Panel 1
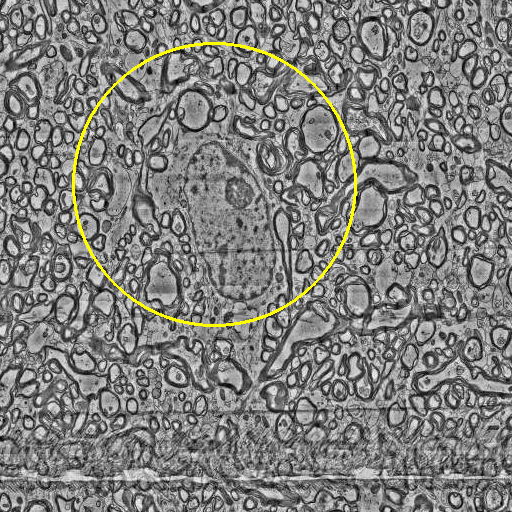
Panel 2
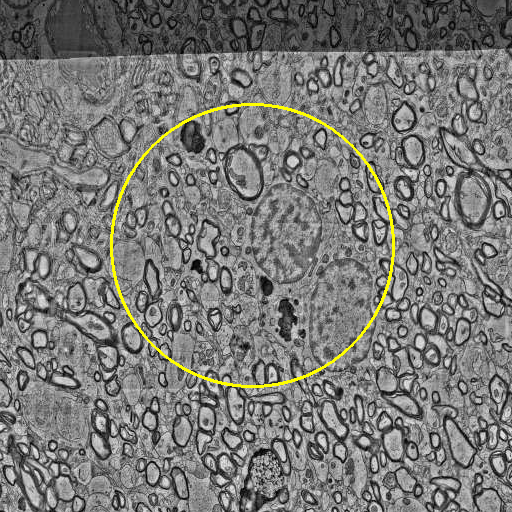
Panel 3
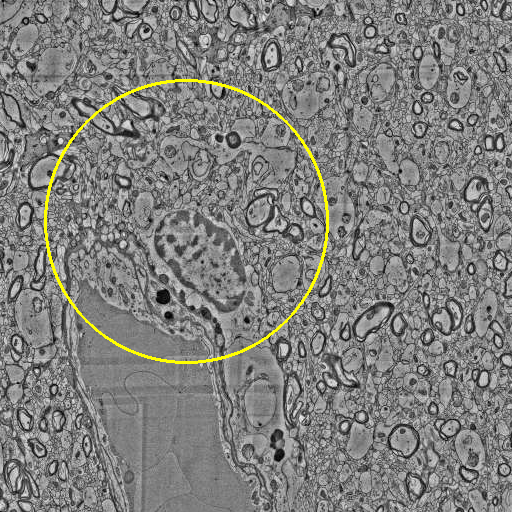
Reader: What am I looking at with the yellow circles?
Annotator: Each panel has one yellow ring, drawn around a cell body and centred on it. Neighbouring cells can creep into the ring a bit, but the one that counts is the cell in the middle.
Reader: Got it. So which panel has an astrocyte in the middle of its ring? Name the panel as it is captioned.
Panel 1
